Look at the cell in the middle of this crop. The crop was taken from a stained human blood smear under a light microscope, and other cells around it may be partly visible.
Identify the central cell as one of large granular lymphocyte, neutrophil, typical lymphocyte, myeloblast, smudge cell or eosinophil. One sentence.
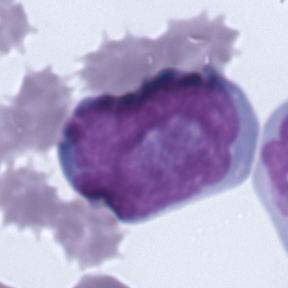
This crop has a myeloblast at its centre.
